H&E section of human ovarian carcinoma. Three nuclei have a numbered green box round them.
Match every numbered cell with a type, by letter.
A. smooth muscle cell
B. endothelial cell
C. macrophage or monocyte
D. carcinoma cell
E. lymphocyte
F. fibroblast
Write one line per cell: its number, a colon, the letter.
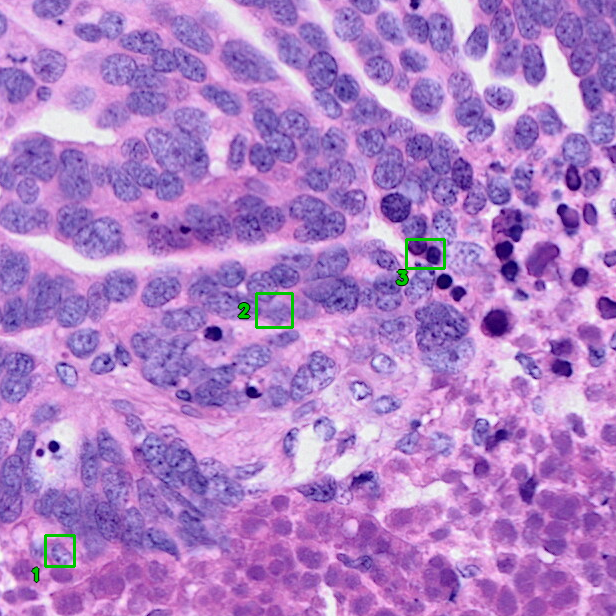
1: C
2: D
3: D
